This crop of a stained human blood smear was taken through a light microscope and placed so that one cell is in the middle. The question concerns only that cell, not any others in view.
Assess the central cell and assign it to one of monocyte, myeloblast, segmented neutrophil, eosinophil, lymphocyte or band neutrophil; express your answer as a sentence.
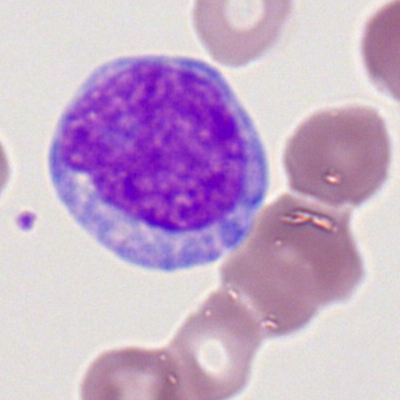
The cell at the centre of the field is a monocyte.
